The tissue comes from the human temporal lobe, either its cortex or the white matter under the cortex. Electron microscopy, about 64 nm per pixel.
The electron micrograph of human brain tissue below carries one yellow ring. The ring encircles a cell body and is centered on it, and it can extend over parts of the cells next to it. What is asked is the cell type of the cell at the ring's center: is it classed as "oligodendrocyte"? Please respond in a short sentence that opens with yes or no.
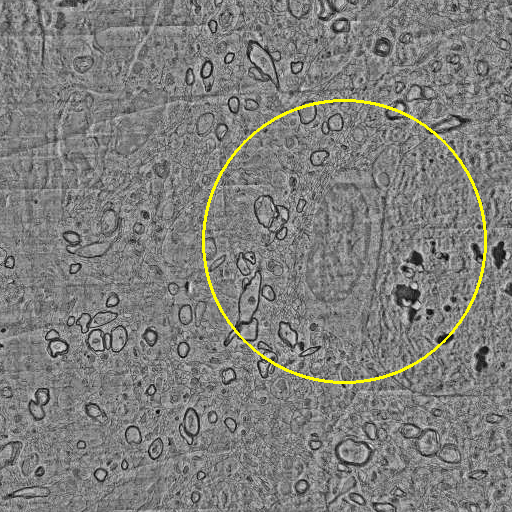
Yes, it is classed that way.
